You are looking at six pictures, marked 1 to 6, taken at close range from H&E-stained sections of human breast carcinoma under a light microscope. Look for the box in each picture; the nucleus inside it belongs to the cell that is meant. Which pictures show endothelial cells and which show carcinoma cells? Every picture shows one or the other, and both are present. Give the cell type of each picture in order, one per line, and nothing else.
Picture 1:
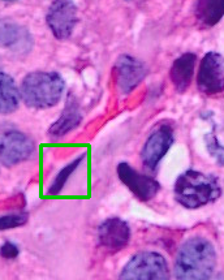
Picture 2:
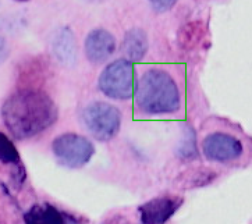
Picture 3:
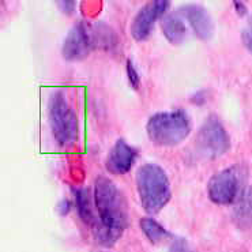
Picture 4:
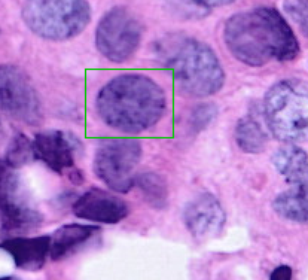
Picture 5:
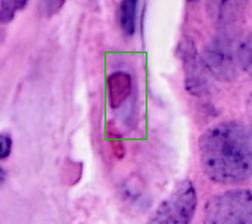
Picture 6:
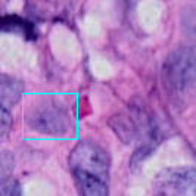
endothelial cell
carcinoma cell
endothelial cell
carcinoma cell
endothelial cell
carcinoma cell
